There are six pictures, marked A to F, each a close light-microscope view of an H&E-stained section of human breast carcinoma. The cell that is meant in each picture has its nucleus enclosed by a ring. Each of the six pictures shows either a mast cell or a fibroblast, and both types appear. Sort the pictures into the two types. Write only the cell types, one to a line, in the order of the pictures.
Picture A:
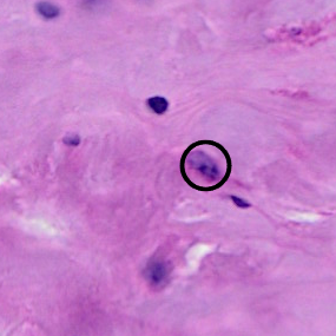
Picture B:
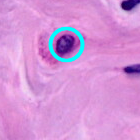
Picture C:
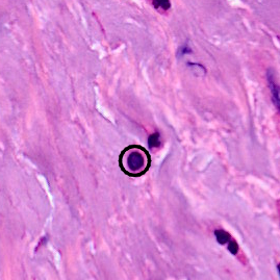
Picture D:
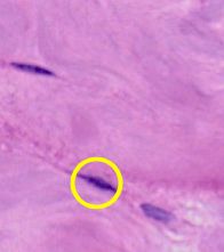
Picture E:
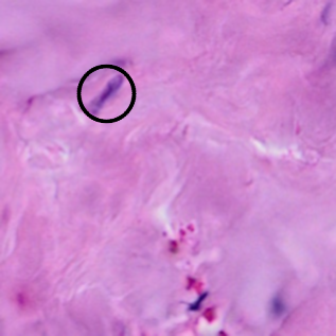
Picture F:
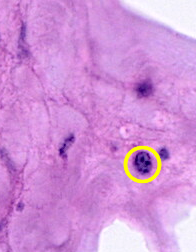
mast cell
mast cell
mast cell
fibroblast
fibroblast
mast cell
